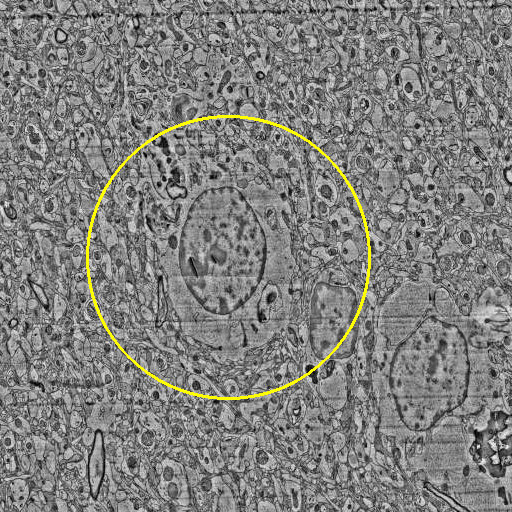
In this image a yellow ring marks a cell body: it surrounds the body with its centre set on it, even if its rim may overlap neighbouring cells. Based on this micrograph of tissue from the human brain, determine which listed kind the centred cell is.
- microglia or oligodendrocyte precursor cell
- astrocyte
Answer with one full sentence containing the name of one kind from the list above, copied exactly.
It is an astrocyte whose body the yellow ring encloses at its centre.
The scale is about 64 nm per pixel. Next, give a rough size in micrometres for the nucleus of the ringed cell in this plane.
The nucleus has a long axis of about 8 micrometres and a short axis of about 5 micrometres in this plane.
